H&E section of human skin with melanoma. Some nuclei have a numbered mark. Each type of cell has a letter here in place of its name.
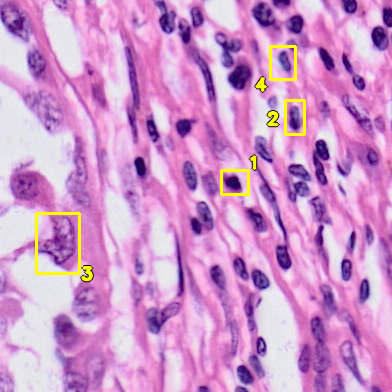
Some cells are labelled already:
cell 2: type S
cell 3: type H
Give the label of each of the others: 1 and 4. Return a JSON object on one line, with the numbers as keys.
{"1": "type S", "4": "type S"}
